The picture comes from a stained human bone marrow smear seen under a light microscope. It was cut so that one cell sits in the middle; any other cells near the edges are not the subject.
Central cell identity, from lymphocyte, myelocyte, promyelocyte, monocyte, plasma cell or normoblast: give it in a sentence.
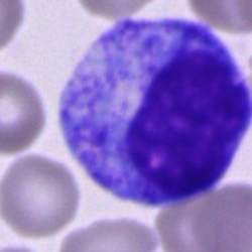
Where the crop is centred, there is a promyelocyte.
